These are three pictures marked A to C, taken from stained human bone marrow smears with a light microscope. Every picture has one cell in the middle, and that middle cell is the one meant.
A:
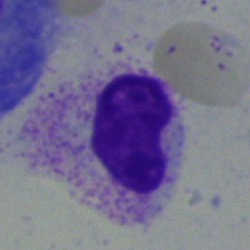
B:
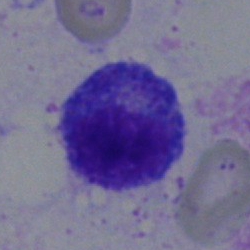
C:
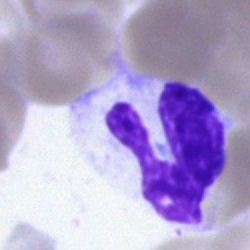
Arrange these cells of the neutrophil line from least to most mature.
B, A, C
